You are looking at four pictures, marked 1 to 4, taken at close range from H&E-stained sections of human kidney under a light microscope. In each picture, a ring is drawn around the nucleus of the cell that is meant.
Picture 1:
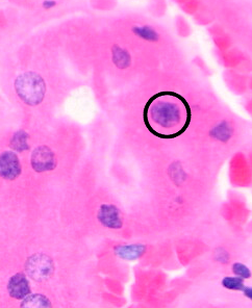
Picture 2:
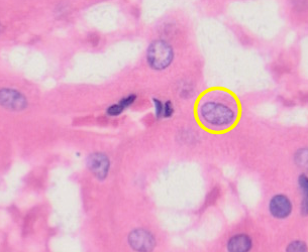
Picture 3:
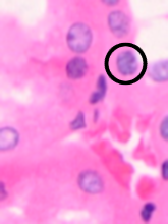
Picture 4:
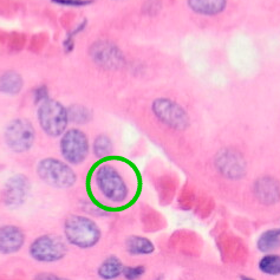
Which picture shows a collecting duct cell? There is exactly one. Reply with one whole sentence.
The collecting duct cell is the one in picture 4.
